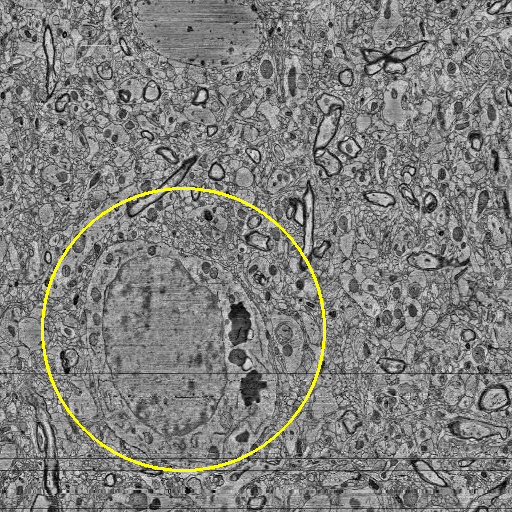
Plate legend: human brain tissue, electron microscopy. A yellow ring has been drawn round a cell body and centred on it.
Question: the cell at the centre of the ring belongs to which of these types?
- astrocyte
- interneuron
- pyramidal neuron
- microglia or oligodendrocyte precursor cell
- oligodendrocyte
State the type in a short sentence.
The cell in the middle of the ring is an interneuron.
